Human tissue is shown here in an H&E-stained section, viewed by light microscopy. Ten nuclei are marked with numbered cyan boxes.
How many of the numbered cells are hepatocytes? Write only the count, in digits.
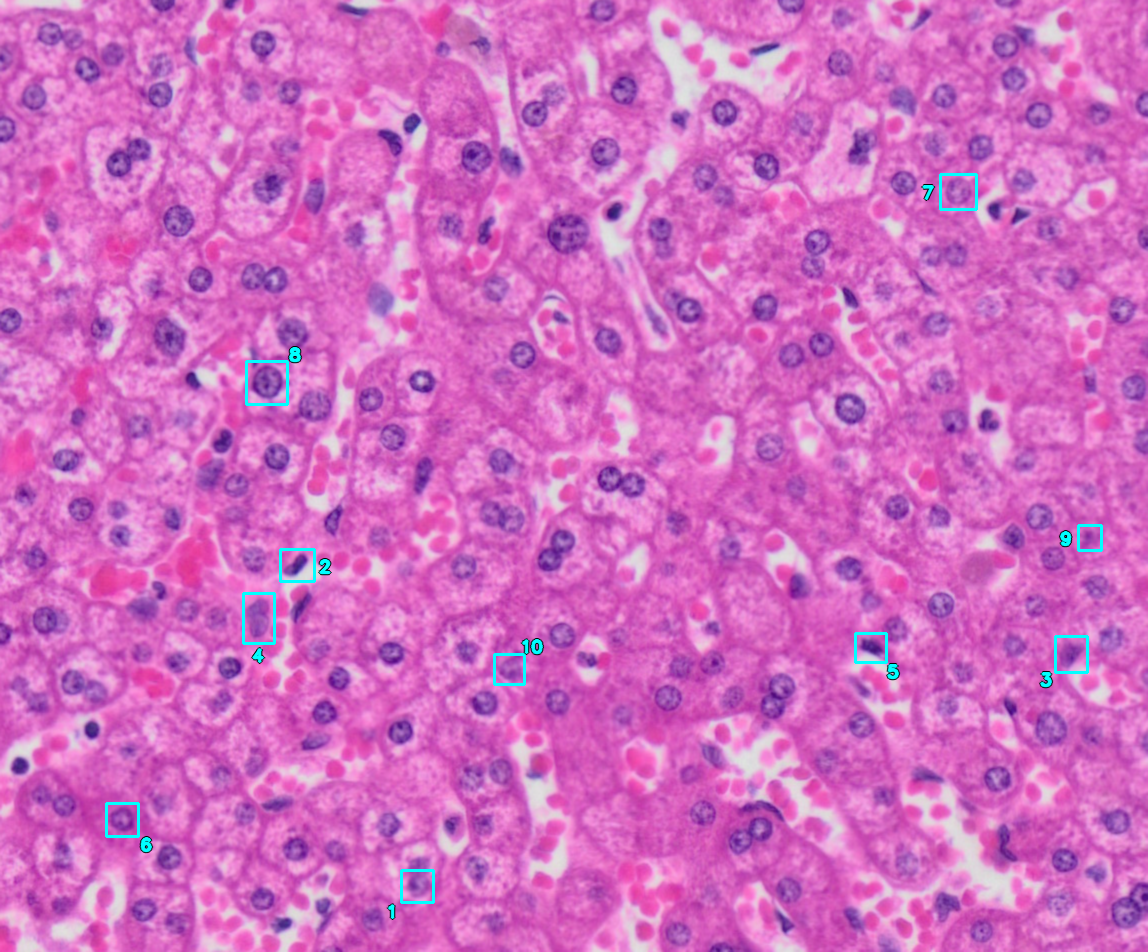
6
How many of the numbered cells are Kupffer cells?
1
